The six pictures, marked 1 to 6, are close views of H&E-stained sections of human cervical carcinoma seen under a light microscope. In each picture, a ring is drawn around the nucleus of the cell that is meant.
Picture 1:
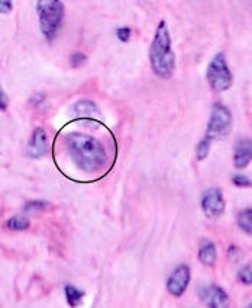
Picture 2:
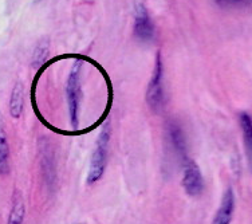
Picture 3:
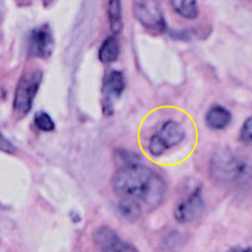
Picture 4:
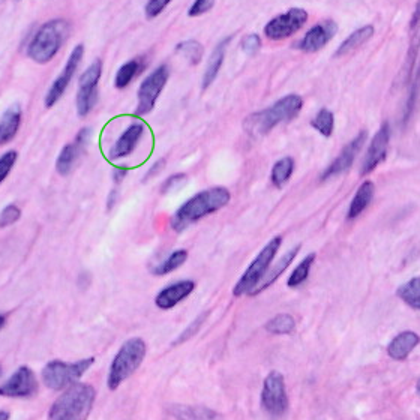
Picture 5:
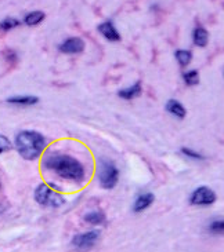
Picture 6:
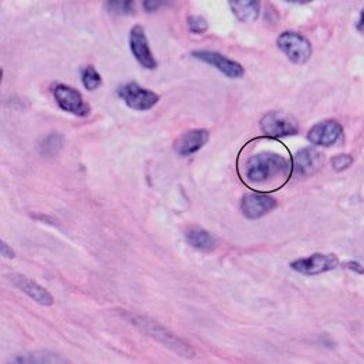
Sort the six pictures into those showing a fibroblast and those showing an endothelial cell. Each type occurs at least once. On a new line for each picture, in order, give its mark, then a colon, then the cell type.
1: endothelial cell
2: fibroblast
3: endothelial cell
4: fibroblast
5: endothelial cell
6: endothelial cell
